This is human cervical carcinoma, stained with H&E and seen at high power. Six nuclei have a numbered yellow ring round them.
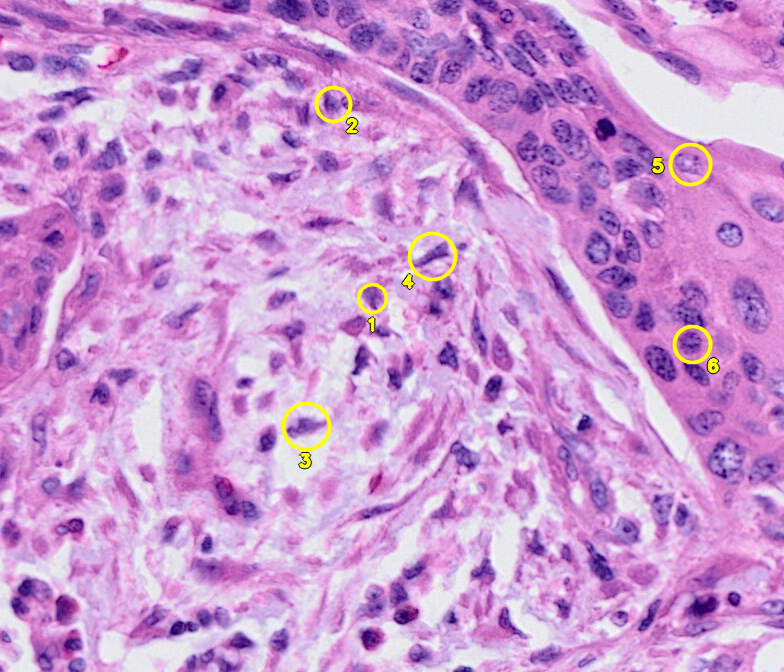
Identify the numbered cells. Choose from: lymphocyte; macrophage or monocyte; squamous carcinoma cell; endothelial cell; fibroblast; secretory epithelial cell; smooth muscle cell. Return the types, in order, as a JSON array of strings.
["fibroblast", "fibroblast", "fibroblast", "fibroblast", "squamous carcinoma cell", "squamous carcinoma cell"]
